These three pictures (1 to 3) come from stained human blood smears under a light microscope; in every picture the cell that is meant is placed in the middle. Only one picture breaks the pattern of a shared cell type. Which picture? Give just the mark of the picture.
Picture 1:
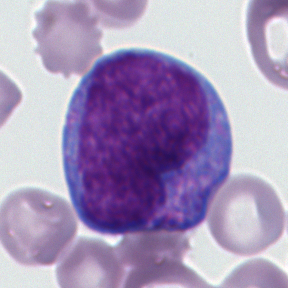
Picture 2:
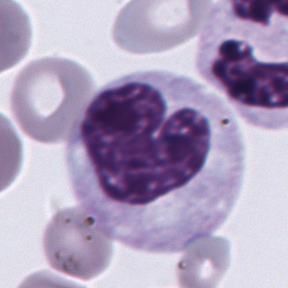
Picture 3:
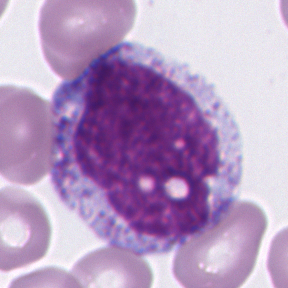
2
